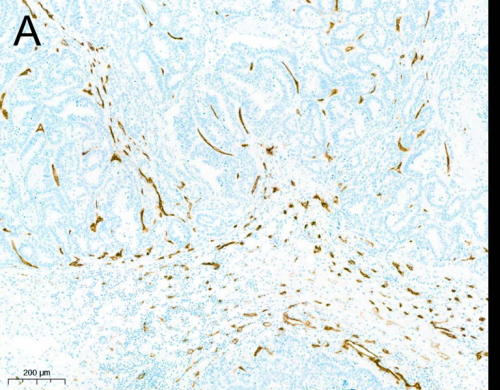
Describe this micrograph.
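This is glandular tumour tissue in which tubular and gland-like epithelial structures, counterstained pale blue, are separated by stroma. Numerous narrow, elongated brown-stained profiles of small microvessels run through the stroma between the epithelial structures, some slit-like and some branching, while the epithelium itself is unstained.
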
